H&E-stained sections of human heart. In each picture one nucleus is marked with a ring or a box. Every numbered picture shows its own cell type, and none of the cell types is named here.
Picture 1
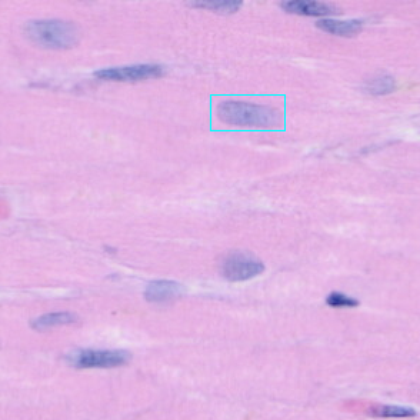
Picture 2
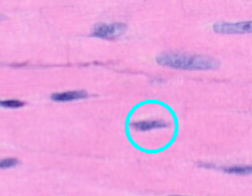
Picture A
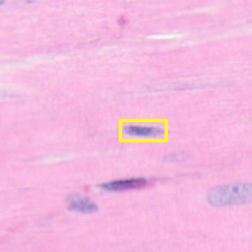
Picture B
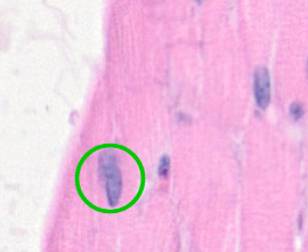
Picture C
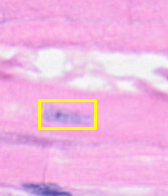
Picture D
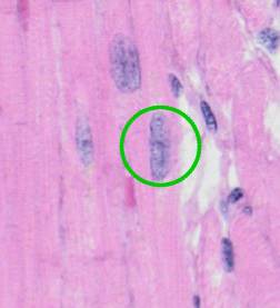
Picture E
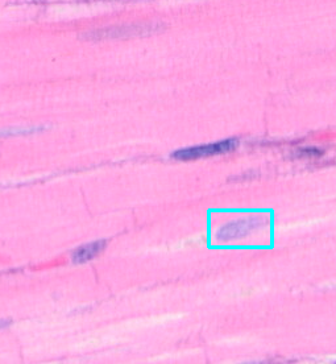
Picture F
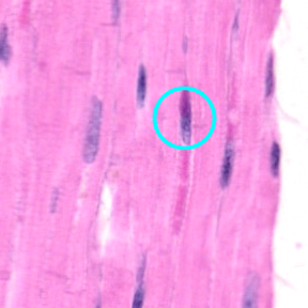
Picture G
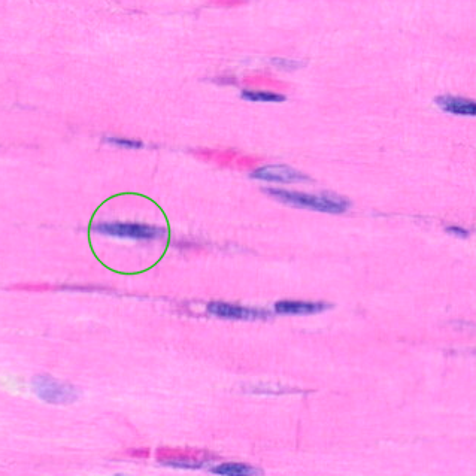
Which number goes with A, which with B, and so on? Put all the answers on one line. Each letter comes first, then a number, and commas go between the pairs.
A 2, B 1, C 1, D 1, E 1, F 2, G 2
